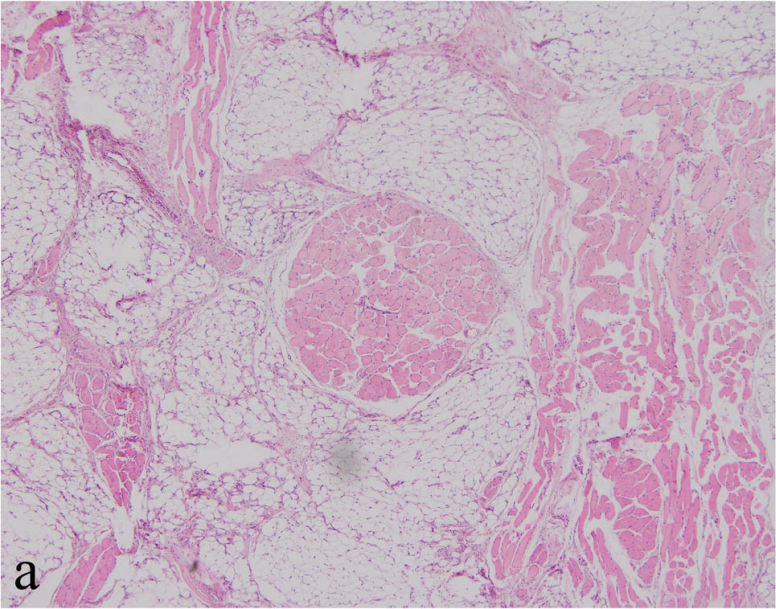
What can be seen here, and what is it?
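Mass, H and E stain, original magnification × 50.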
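This low-power view shows fat cells spreading through skeletal muscle. Pale lobules of fat with a fine lacy network occupy much of the field. Pink skeletal muscle fibres, cut both along their length and across, run in bands and bundles between the fat. A rounded bundle of cross-cut muscle fibres in the centre is surrounded by fat. Thin pink fibrous septa outline the lobules.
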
